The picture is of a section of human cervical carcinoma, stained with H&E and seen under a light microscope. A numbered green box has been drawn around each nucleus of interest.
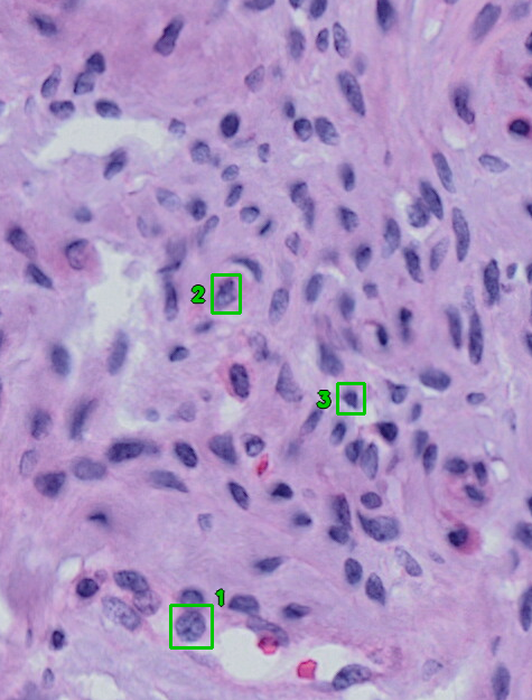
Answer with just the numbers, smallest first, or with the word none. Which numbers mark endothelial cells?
1, 2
